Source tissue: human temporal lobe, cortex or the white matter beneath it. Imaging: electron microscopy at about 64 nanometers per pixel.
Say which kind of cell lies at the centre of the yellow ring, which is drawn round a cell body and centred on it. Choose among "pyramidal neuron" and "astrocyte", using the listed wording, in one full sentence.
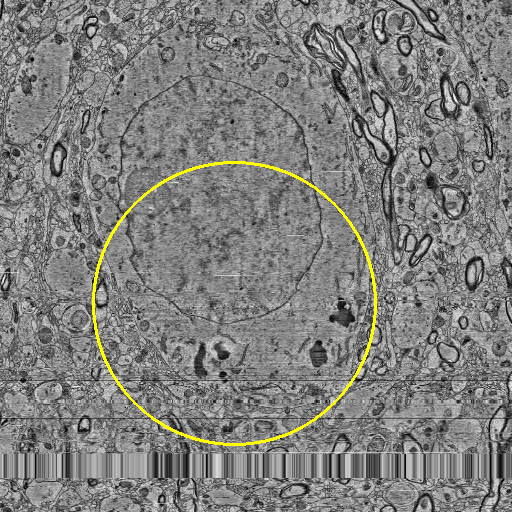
Going by the list, the cell at the yellow ring's centre is a pyramidal neuron.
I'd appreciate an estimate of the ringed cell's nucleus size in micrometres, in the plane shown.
In this plane the nucleus measures roughly 17 by 13 micrometers.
